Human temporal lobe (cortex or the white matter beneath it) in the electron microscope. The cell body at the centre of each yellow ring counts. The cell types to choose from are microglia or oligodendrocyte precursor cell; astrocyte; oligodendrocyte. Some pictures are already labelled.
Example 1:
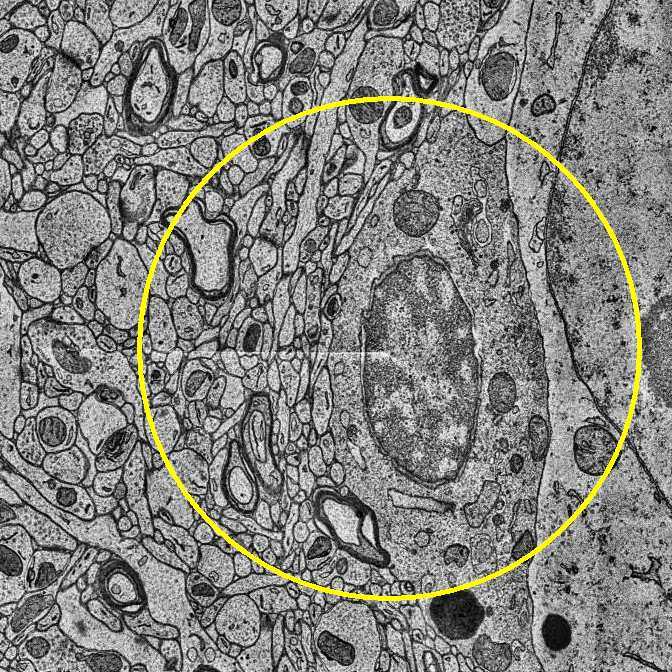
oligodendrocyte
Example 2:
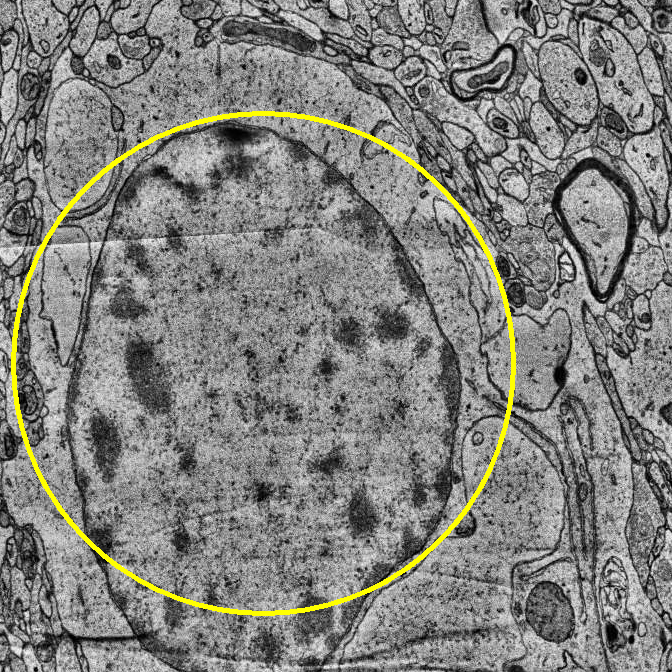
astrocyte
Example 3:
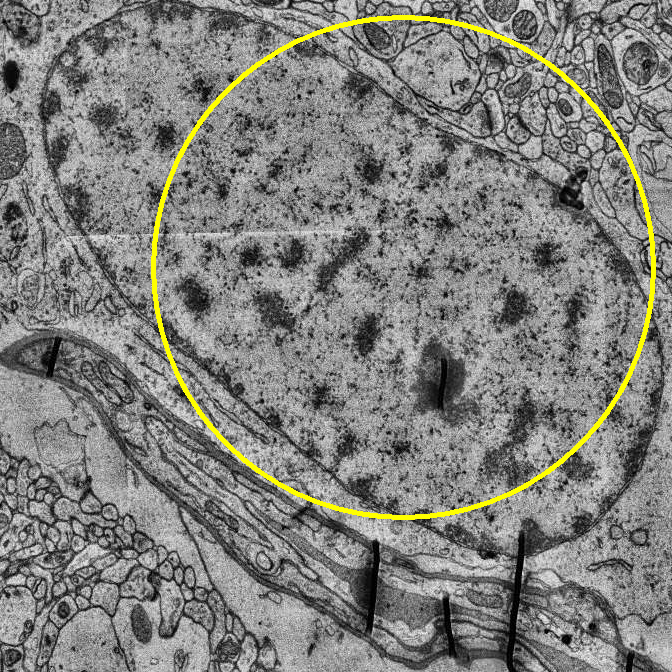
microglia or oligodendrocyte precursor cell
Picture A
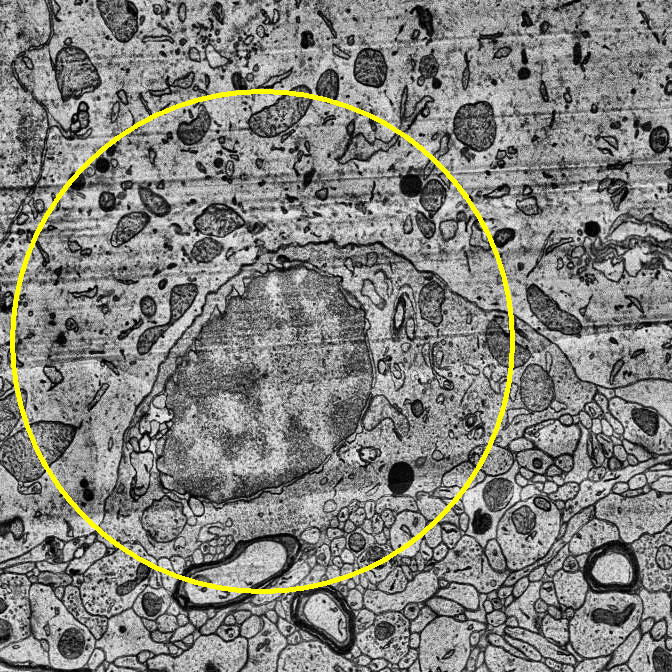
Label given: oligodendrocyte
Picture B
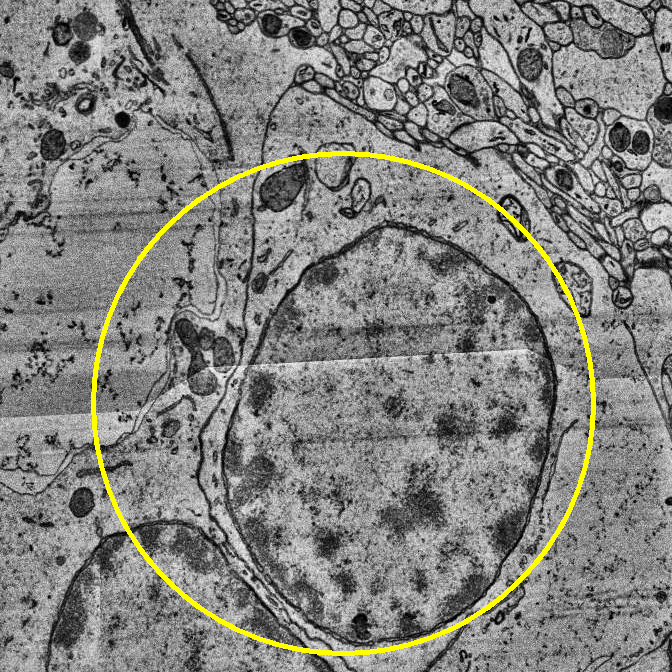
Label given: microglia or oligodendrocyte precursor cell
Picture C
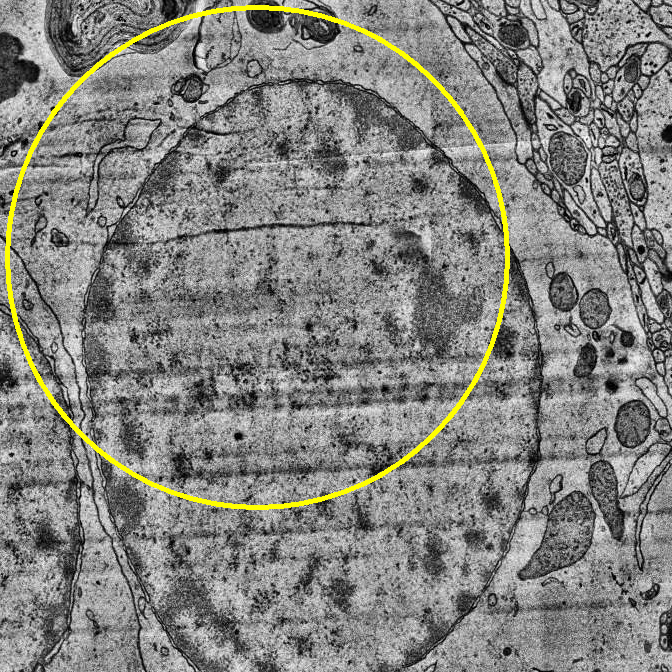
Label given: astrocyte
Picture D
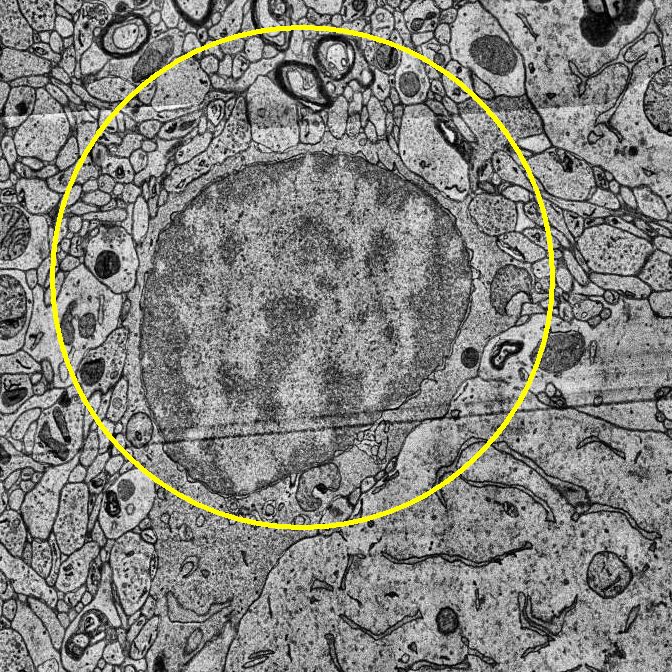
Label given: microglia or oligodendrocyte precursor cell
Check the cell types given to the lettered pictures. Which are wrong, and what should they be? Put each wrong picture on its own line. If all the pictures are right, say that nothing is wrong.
B: not microglia or oligodendrocyte precursor cell but astrocyte
D: not microglia or oligodendrocyte precursor cell but oligodendrocyte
